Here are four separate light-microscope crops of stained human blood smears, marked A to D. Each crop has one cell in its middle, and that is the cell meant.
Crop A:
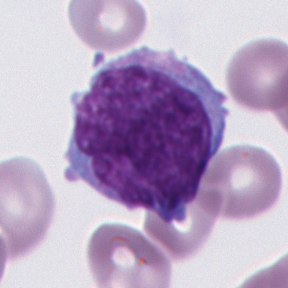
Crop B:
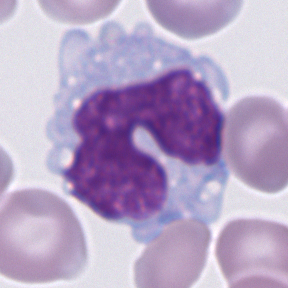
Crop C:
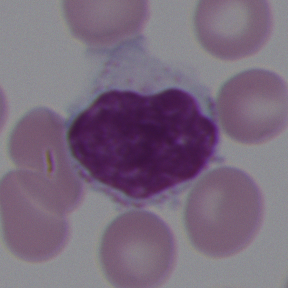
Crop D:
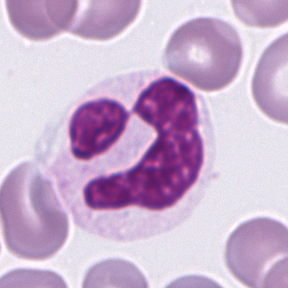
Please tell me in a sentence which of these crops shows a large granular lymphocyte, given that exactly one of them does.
Crop C is the crop that displays a large granular lymphocyte.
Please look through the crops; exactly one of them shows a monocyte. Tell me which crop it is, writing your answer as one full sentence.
Of all the crops, crop B is the one showing a monocyte.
